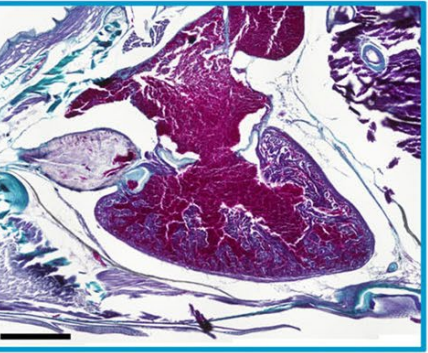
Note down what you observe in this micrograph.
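This is a section through a fish heart whose ventricle is filled with a meshwork of trabeculated heart muscle stained deep pink-red. The muscle is evenly stained down to the tip of the ventricle, without a blue-stained patch. Above it lies another densely stained chamber, and thin blue-green strands of connective tissue run through the surrounding tissues.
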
